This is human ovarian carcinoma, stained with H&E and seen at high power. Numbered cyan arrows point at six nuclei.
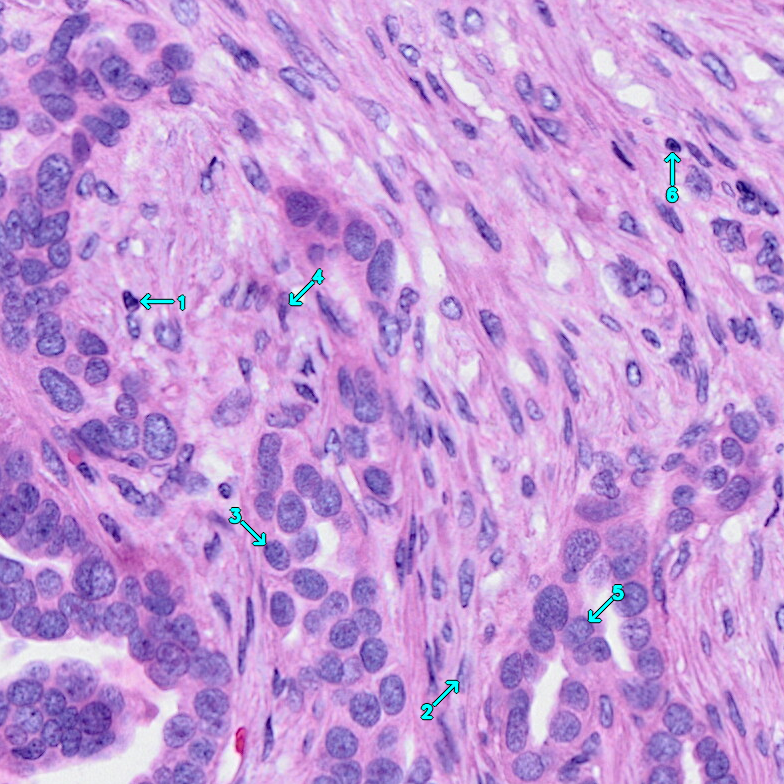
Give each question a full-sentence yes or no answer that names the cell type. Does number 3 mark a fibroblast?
No, cell 3 is not a fibroblast; a carcinoma cell is correct.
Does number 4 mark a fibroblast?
Yes, the numbered cell 4 is identified as a fibroblast.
